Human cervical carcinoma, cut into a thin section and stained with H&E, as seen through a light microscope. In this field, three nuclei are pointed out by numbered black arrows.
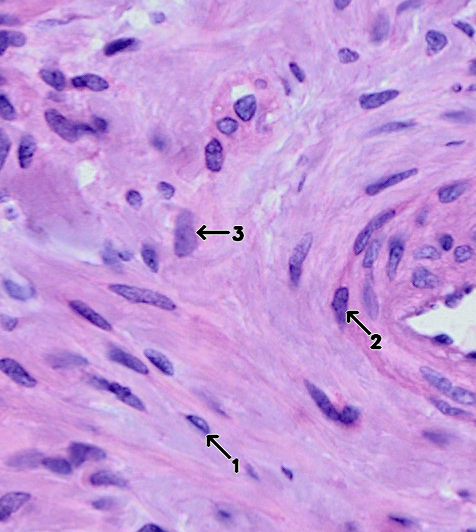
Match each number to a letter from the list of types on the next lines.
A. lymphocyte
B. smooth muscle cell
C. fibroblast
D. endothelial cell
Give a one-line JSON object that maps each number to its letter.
{"1": "C", "2": "B", "3": "C"}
